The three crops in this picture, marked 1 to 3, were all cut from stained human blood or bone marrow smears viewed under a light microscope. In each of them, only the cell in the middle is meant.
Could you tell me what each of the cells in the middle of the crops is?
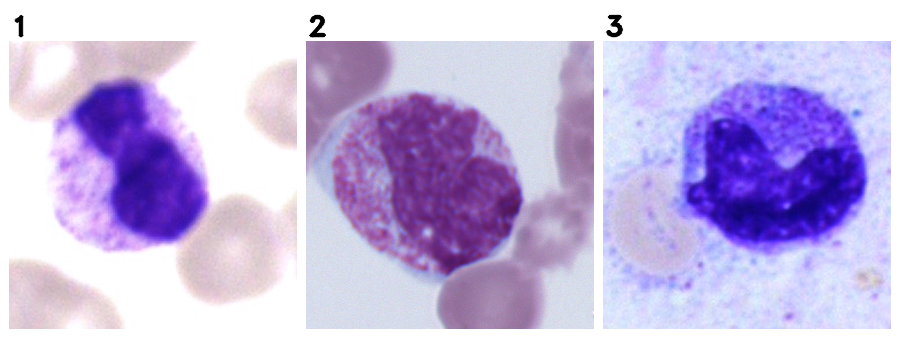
1: segmented neutrophil
2: band neutrophil
3: band neutrophil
